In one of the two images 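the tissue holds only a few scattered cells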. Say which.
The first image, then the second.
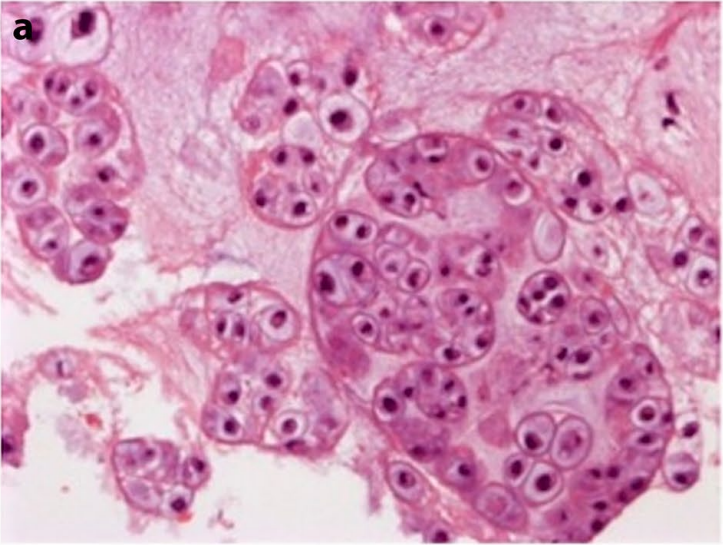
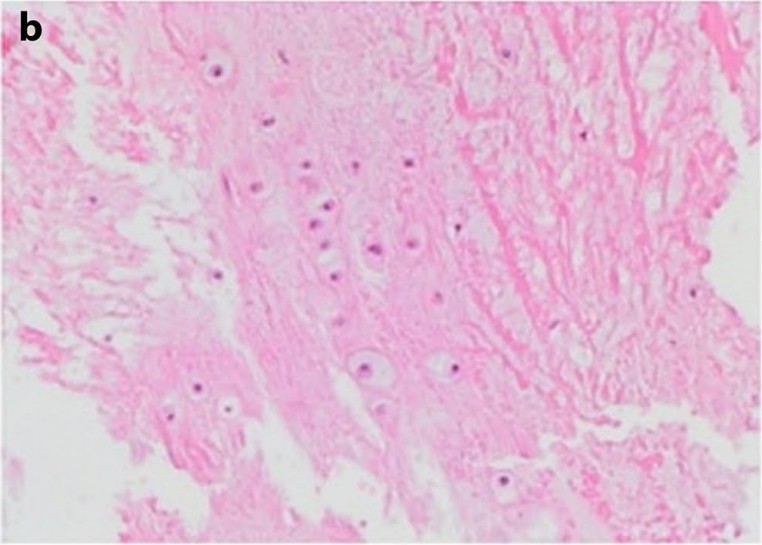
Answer: the second image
